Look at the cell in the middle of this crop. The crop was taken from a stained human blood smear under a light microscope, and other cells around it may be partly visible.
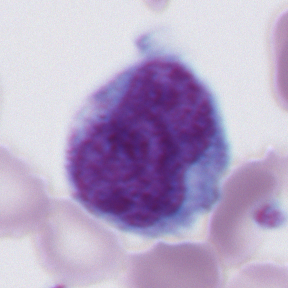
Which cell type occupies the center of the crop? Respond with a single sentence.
The centrally positioned cell in the crop represents a monocyte.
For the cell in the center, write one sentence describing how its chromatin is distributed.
The chromatin is fine, with no coarse clumping anywhere.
